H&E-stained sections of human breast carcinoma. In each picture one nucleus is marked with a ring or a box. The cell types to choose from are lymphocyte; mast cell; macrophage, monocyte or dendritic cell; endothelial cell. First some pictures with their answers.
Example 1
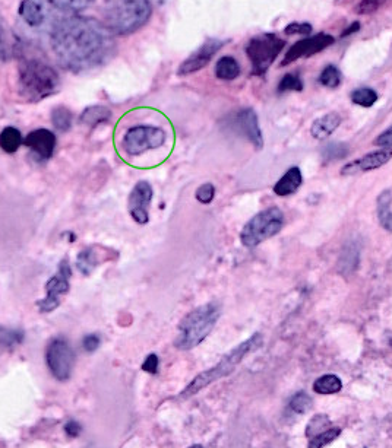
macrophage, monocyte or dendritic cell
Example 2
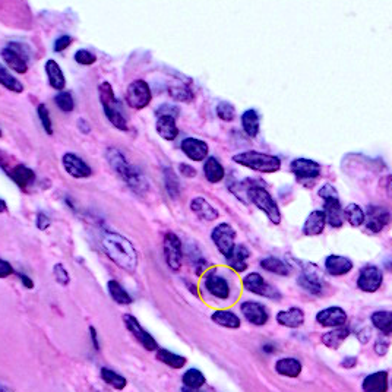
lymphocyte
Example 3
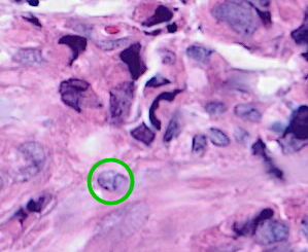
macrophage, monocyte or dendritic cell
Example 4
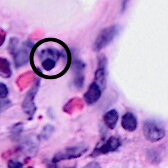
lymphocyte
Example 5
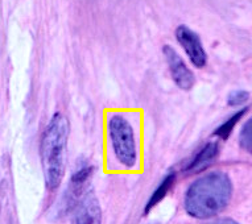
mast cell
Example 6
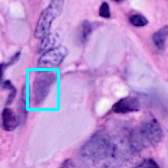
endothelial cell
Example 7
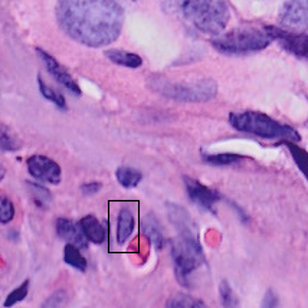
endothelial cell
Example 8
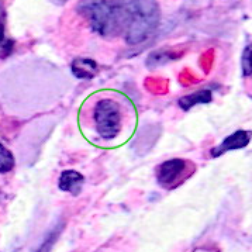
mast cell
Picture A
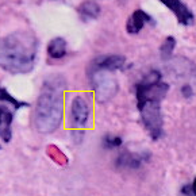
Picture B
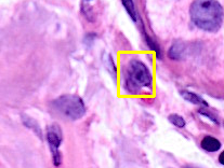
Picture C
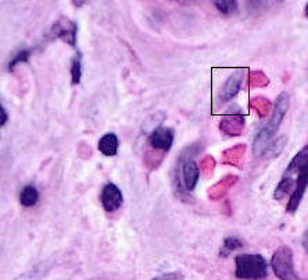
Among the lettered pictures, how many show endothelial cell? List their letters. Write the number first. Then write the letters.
3: A, B, C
